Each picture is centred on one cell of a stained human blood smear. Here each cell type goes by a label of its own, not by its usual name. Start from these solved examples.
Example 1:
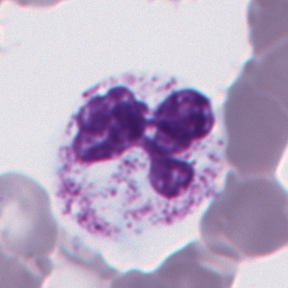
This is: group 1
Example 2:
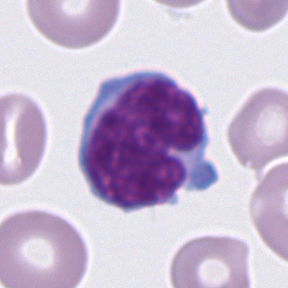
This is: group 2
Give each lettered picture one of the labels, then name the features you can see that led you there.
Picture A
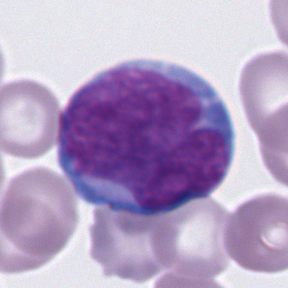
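group 2. Evidence: The cytoplasm is blue.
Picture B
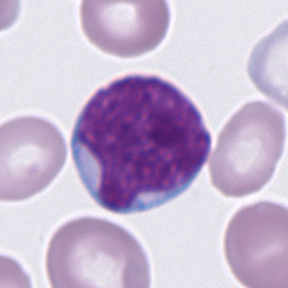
group 2. Evidence: The cytoplasm is a scant pale blue rim, widest at the lower left.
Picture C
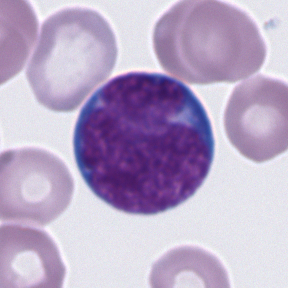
group 2. Evidence: The cytoplasm forms a thin blue rim around the nucleus.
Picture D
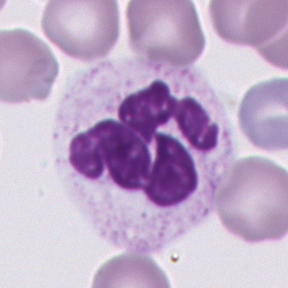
group 1. Evidence: The nucleus is divided into several separate lobes.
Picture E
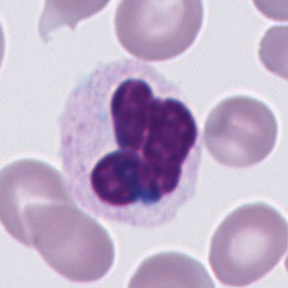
group 1. Evidence: The cytoplasm is plentiful and pale pinkish-grey.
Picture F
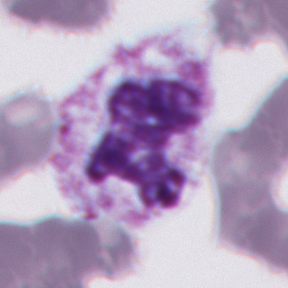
group 1. Evidence: The nucleus is divided into several connected lobes.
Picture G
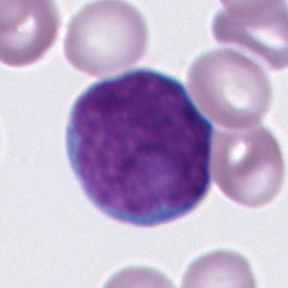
group 2. Evidence: The cytoplasm forms only a thin rim around the nucleus.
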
